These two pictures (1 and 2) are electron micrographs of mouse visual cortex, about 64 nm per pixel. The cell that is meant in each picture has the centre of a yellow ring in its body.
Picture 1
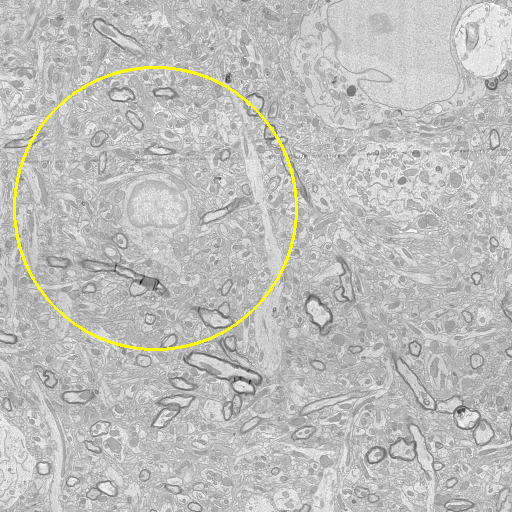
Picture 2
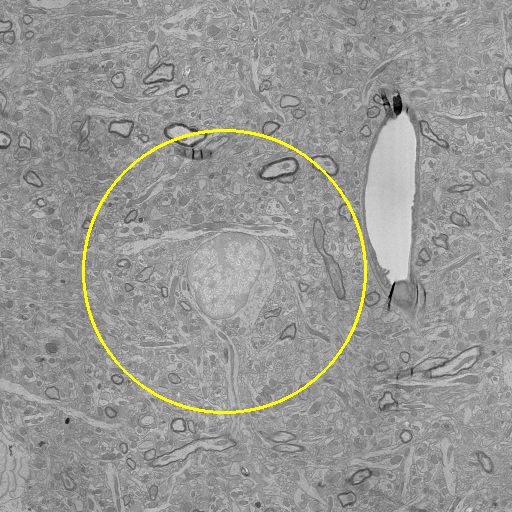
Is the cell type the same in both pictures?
Yes, both cells are oligodendrocytes.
